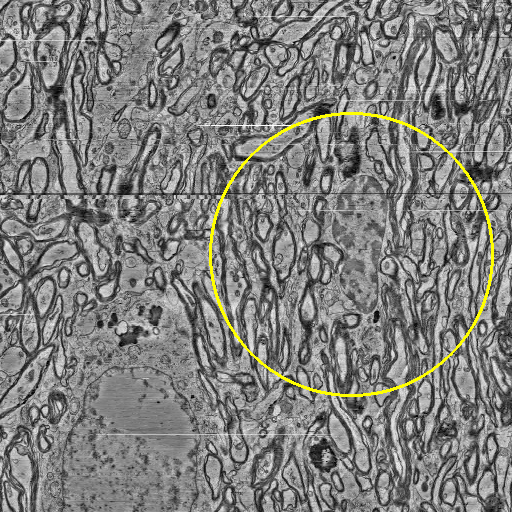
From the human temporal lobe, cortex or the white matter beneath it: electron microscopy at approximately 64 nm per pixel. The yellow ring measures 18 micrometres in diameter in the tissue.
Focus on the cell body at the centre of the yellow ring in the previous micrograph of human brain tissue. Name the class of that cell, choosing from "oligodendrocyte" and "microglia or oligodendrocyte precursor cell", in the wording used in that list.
microglia or oligodendrocyte precursor cell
